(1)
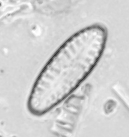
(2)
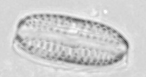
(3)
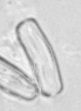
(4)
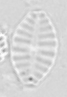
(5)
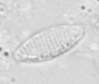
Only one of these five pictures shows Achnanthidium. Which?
Picture 3.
